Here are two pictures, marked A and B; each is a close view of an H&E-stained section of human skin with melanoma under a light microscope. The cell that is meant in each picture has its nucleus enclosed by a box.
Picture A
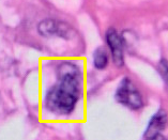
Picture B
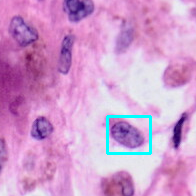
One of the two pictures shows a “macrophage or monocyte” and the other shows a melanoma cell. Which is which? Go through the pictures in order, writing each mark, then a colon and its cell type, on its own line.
A: melanoma cell
B: macrophage or monocyte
